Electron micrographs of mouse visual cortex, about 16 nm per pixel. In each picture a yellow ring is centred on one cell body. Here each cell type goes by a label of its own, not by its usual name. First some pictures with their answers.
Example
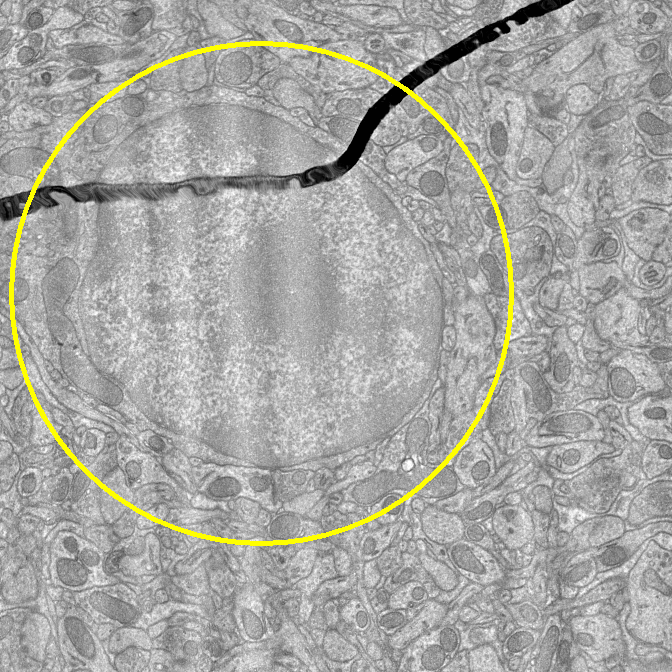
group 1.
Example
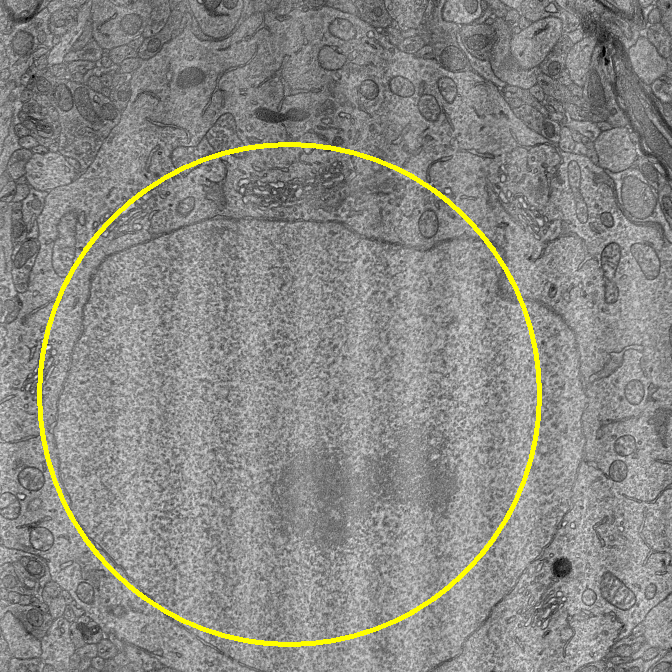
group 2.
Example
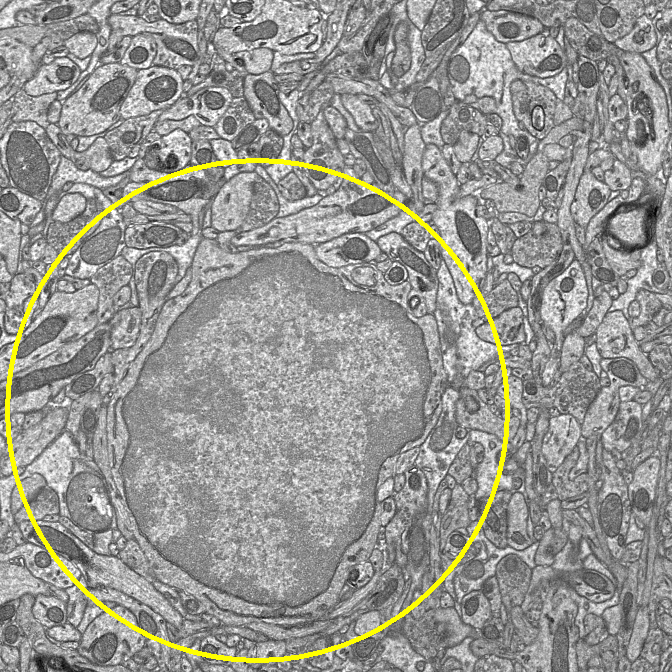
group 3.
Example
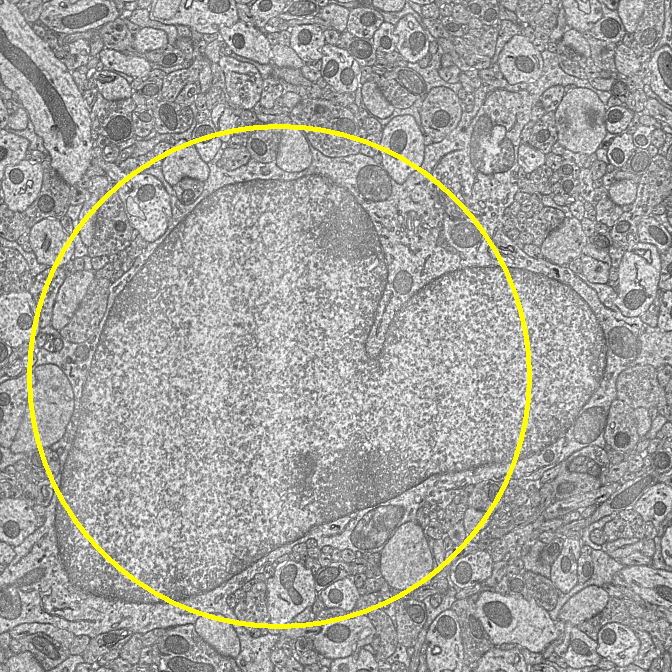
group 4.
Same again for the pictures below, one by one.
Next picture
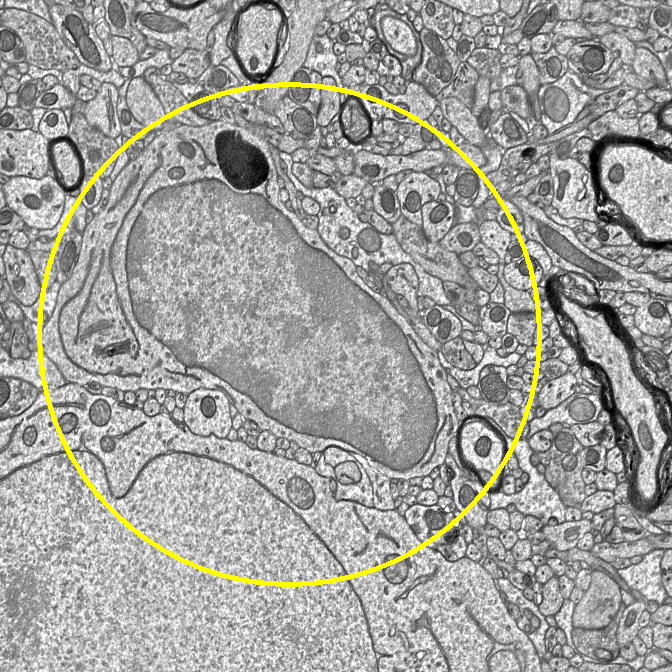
group 3.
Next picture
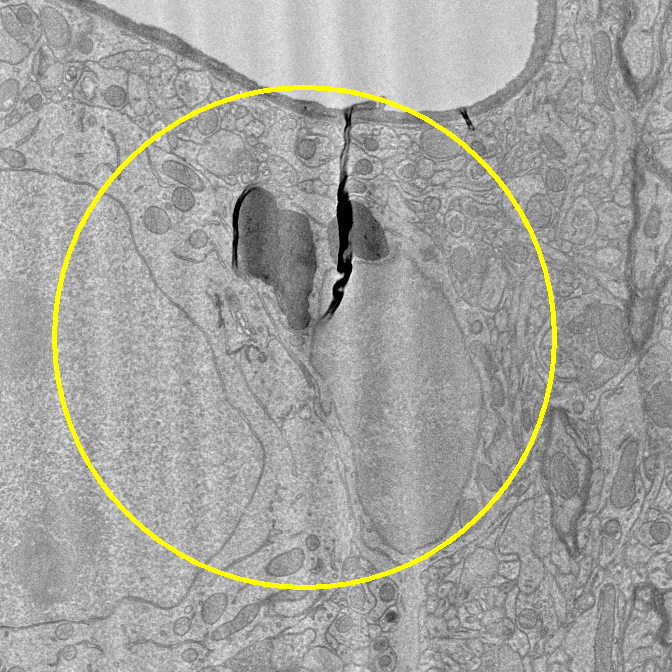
group 3.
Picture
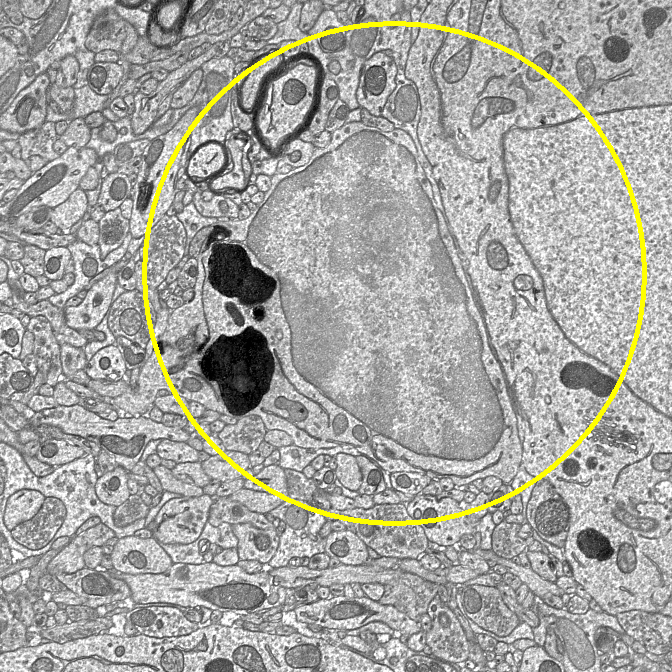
group 3.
